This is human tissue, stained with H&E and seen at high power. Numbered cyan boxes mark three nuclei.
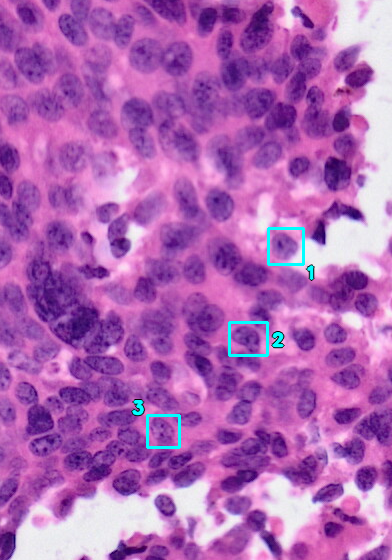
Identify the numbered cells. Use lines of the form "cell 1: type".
cell 1: macrophage or monocyte
cell 2: macrophage or monocyte
cell 3: carcinoma cell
